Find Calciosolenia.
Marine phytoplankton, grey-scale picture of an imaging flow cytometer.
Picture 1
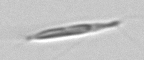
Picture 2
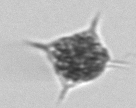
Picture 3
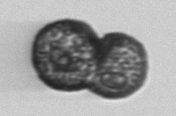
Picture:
1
